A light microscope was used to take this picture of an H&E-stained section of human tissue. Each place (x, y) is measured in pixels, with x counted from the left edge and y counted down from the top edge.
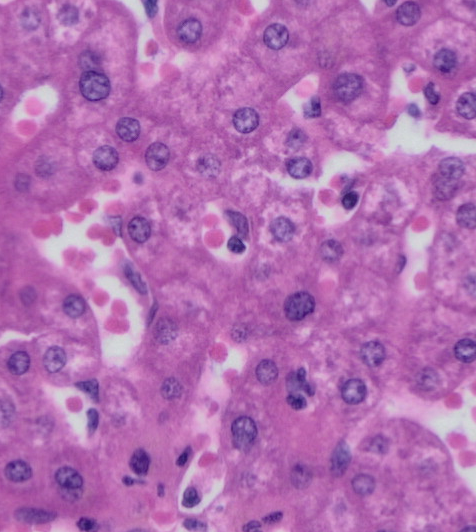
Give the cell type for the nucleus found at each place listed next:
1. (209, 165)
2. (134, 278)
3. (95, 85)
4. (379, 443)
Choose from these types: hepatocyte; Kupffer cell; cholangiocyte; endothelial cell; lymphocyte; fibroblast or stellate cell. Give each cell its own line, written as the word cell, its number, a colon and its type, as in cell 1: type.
cell 1: hepatocyte
cell 2: Kupffer cell
cell 3: hepatocyte
cell 4: hepatocyte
